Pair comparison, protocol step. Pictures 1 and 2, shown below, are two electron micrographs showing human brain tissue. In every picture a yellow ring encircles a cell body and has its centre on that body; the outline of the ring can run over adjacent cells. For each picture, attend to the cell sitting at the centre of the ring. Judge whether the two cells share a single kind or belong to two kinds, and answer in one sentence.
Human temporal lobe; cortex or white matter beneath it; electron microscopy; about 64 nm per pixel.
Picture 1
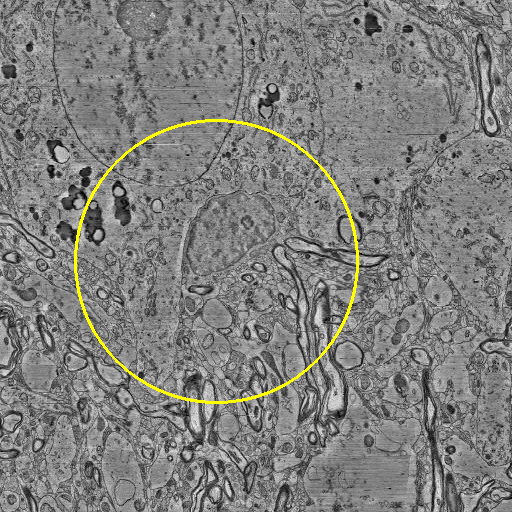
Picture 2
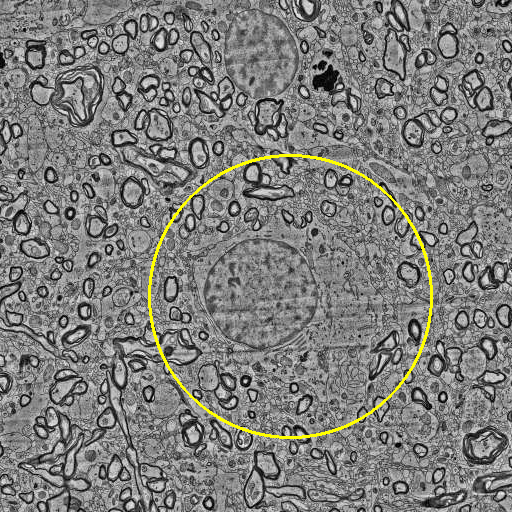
The two cells at the ring centres in Picture 1 and Picture 2 belong to two kinds.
